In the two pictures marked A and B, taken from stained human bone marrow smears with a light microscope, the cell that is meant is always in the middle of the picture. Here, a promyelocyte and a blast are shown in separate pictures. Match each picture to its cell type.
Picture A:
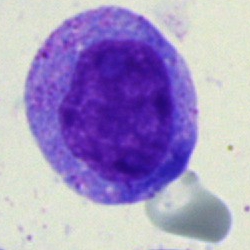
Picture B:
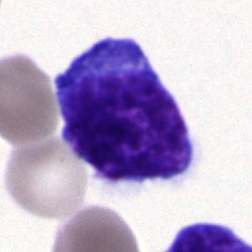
A: promyelocyte
B: blast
